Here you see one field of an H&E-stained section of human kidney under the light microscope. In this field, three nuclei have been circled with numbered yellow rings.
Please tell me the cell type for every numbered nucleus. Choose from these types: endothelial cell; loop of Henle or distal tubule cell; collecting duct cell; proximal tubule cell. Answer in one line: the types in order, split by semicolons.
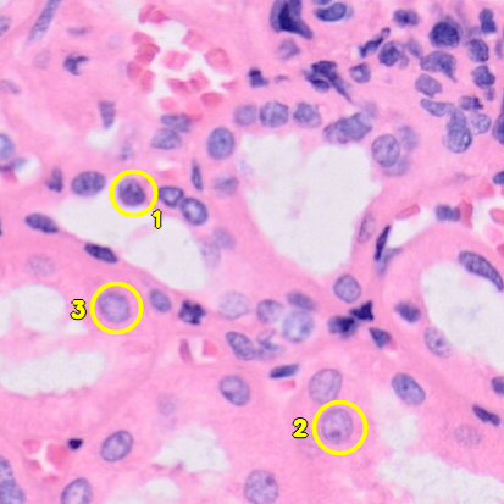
collecting duct cell; proximal tubule cell; proximal tubule cell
